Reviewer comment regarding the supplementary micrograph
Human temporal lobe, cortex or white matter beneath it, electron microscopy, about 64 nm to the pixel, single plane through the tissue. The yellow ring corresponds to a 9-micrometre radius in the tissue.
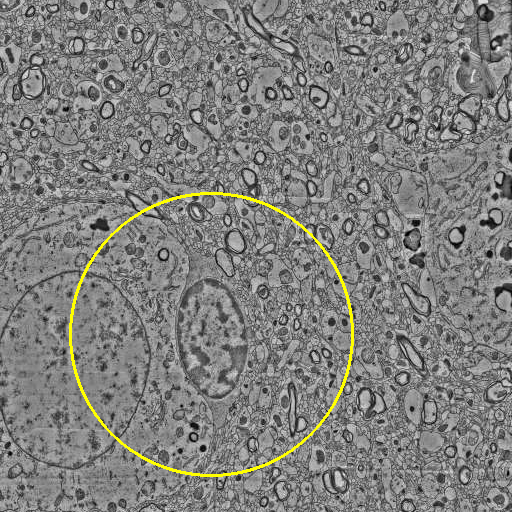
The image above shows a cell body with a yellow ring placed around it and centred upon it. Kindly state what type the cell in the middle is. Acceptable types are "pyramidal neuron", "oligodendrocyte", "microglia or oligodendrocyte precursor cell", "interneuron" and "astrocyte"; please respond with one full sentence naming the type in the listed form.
In the image above, the cell on which the yellow ring is centred is an oligodendrocyte.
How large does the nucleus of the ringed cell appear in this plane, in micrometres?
At approximately 7 by 4 micrometres, the nucleus is clearly longer than it is wide in this plane.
